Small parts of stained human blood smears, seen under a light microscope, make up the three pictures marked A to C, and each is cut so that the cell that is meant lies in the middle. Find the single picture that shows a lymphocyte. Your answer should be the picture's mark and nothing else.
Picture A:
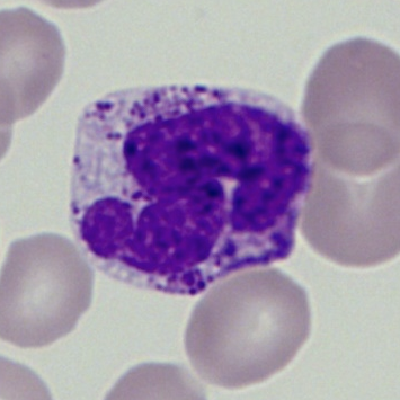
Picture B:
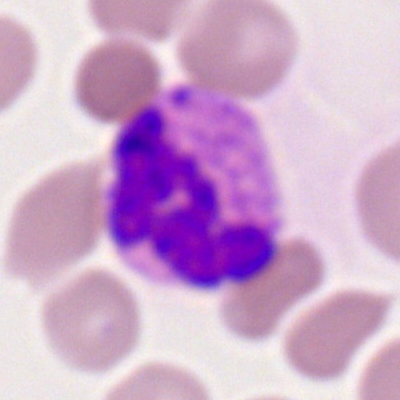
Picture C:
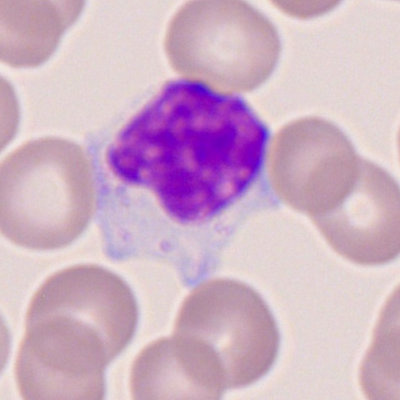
C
